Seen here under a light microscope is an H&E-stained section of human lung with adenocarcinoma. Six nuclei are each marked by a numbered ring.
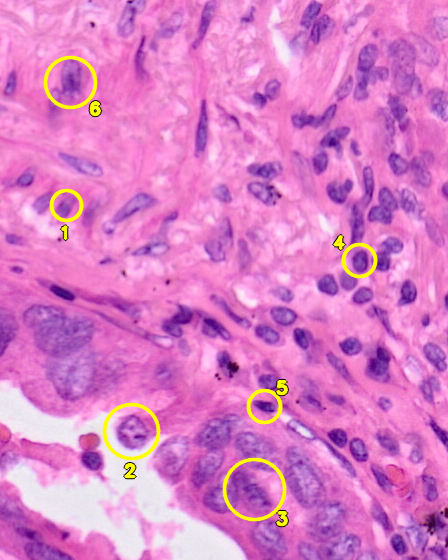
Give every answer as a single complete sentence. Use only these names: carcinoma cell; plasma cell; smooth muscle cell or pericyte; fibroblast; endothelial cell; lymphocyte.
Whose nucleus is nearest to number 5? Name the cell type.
Number 5 lies closest to the nucleus of a plasma cell.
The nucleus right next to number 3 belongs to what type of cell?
Closest to number 3 lies the nucleus of a carcinoma cell.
